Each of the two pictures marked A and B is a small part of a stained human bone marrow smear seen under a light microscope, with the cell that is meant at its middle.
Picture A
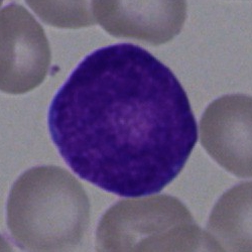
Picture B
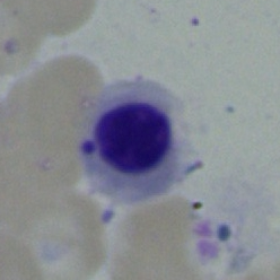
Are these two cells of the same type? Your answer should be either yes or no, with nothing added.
no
